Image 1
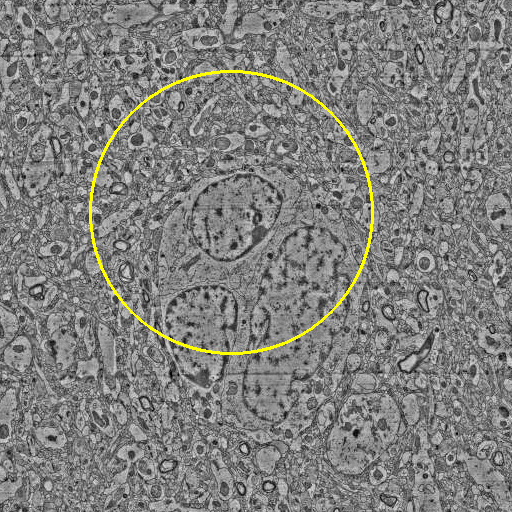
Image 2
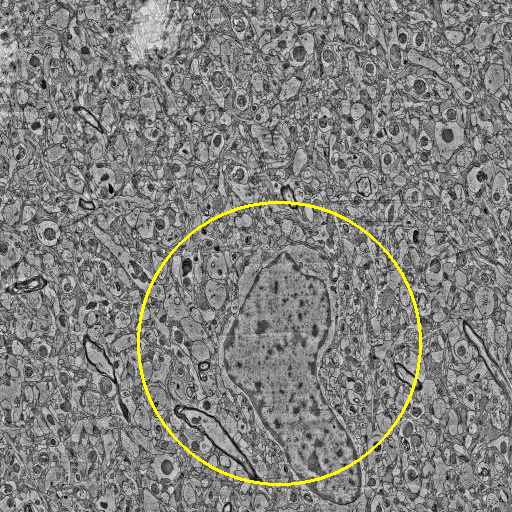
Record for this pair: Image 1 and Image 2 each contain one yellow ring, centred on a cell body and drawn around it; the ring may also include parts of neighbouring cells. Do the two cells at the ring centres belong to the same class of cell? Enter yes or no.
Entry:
yes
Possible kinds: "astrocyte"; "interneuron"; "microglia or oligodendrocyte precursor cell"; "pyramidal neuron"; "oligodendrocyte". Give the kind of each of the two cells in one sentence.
In the first picture and in the second, the ring is centred on a microglial cell or oligodendrocyte precursor cell.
